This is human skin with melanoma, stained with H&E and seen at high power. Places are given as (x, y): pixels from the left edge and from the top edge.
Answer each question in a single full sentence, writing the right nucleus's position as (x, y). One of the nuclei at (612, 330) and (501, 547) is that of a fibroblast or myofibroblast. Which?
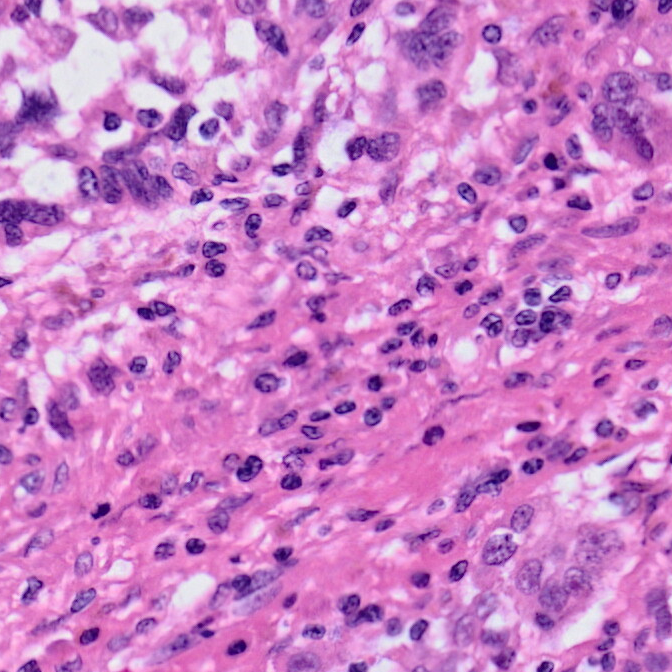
The nucleus that sits at (612, 330) is the nucleus of a fibroblast or myofibroblast.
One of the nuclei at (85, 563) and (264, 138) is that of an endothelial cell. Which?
Here the nucleus at (85, 563) is the one that belongs to an endothelial cell.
